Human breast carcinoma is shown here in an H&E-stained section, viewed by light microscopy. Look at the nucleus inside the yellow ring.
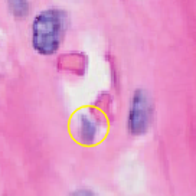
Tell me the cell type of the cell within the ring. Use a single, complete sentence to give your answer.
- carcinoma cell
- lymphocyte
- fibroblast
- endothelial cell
In the context of this tissue, the cell within the ring is an endothelial cell.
